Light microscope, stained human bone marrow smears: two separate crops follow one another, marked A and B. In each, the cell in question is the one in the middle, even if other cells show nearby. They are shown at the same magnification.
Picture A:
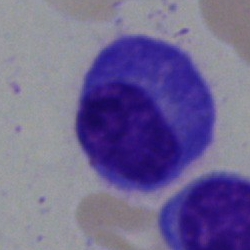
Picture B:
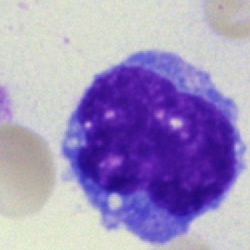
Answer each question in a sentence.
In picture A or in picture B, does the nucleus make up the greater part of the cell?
In picture B the nucleus takes up the larger part of its cell.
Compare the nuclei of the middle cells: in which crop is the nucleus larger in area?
Picture B shows the larger nucleus; it covers about 2.5 times the area of the nucleus in picture A.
